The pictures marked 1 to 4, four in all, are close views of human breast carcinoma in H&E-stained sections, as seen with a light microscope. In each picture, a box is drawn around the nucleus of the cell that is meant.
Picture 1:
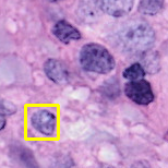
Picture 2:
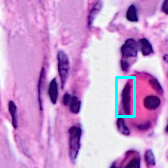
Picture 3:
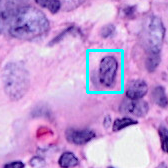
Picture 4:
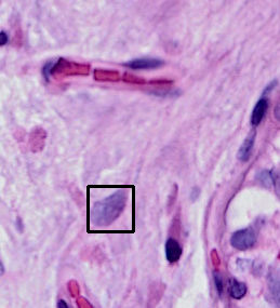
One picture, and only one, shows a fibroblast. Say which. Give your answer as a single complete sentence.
The fibroblast is the one in picture 4.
